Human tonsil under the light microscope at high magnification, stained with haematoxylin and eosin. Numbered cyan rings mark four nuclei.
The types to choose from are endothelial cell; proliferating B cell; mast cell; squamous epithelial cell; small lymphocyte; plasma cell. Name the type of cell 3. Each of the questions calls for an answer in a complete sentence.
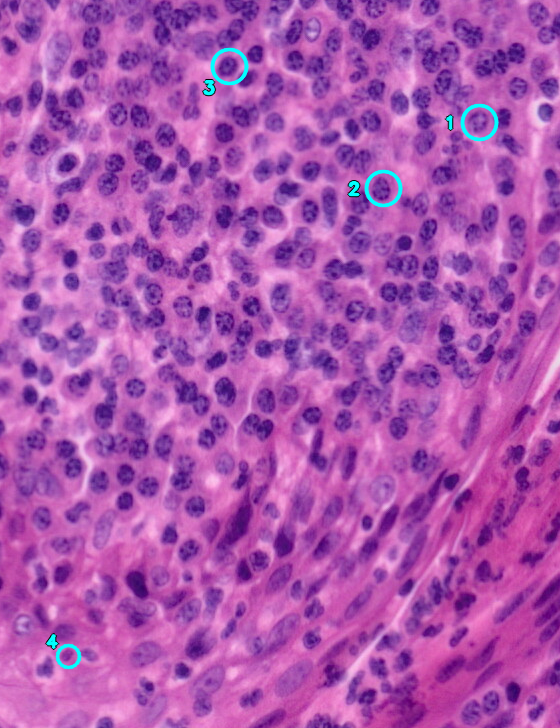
The numeral 3 marks a plasma cell in this section.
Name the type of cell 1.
The marked cell bearing number 1 is a plasma cell.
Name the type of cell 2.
In the marked set, the cell given number 2 is a plasma cell.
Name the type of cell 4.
Classified as a squamous epithelial cell is the cell with the number 4.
